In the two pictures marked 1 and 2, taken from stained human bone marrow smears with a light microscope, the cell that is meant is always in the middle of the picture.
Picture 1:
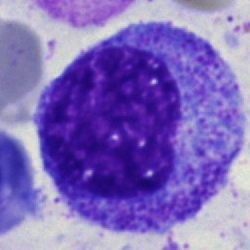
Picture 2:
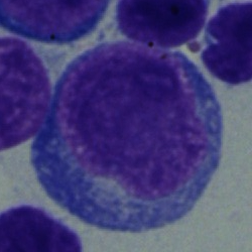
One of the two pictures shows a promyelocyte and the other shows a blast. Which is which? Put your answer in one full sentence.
The cell in picture 1 is a promyelocyte, and the one in picture 2 is a blast.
